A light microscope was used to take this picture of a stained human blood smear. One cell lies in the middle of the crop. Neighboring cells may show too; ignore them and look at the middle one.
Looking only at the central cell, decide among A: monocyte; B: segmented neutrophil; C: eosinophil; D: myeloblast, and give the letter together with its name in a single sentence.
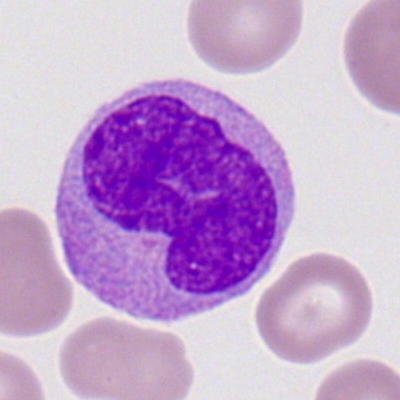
The central cell, a monocyte, is correctly identified by option A.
